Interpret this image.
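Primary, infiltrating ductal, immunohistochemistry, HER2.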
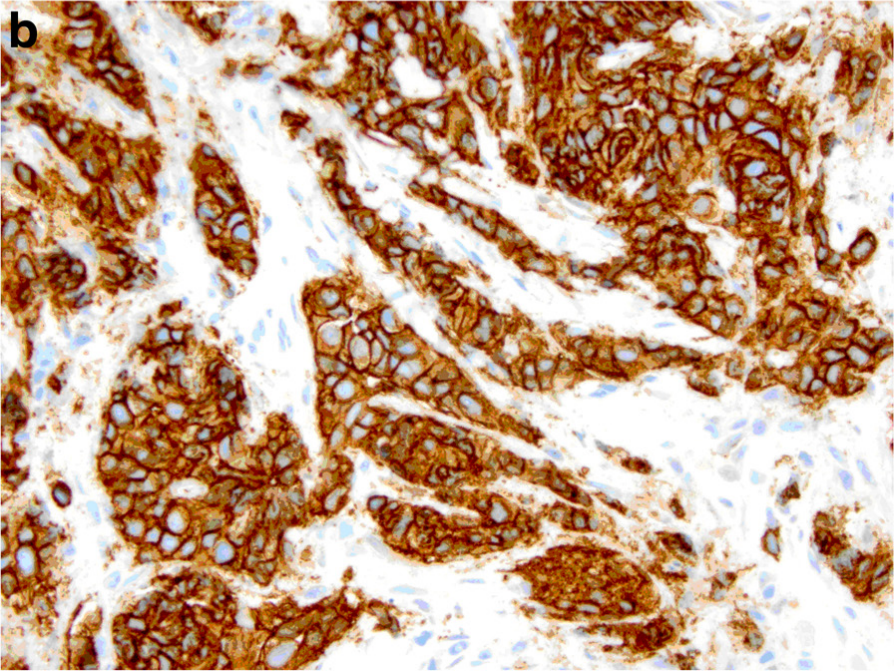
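Breast cancer cells in irregular nests and cords show intense brown staining along the whole cell surface. The brown outlines each cell completely, giving a chicken-wire pattern across the nests. The intervening stroma, with slender blue spindle-cell nuclei, is essentially unstained.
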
